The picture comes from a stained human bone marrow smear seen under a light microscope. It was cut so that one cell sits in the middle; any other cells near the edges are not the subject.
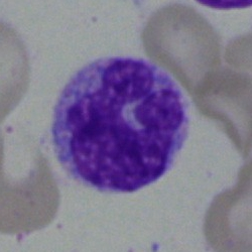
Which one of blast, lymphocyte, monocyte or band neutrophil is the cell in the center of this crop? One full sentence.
Classified as a monocyte is the cell in the middle of this crop.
